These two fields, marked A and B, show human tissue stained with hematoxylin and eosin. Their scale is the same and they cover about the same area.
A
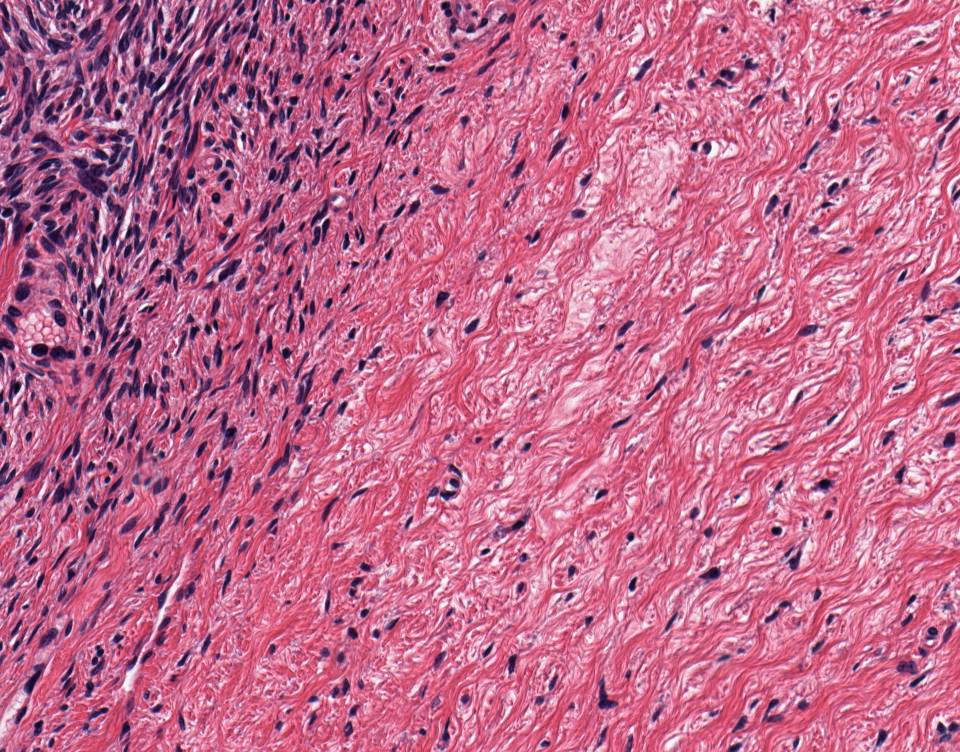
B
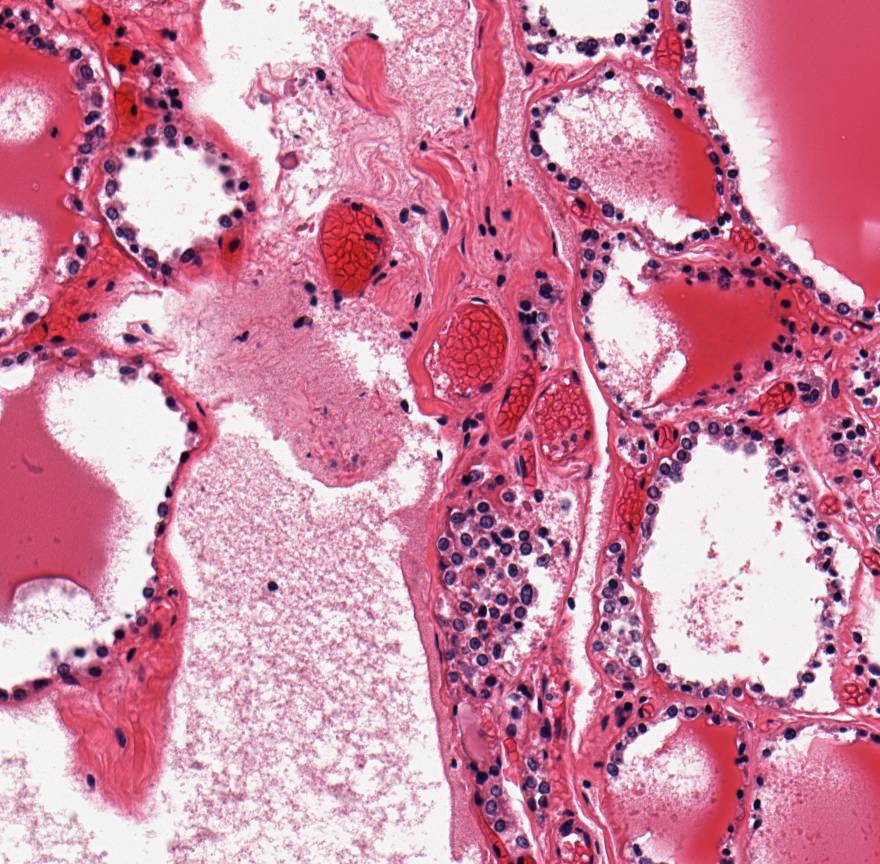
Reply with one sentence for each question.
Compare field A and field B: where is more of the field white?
Unstained space takes up more of field B than of field A.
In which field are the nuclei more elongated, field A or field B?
On the whole the nuclei of field A are more drawn out than those of field B.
